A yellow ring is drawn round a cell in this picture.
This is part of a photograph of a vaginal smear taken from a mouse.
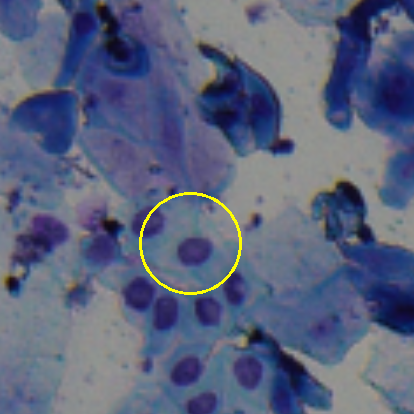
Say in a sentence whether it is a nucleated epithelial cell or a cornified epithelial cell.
The cell in the ring is a nucleated epithelial cell.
